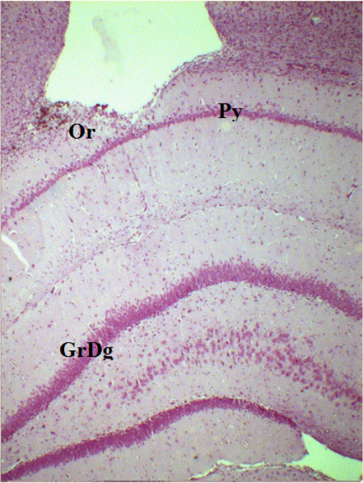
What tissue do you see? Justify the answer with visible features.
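Hippocampus. A thin curved band of densely packed pink-stained cell bodies runs across the upper part.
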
